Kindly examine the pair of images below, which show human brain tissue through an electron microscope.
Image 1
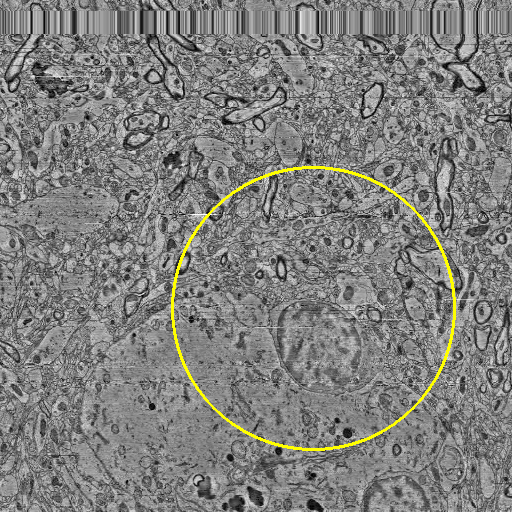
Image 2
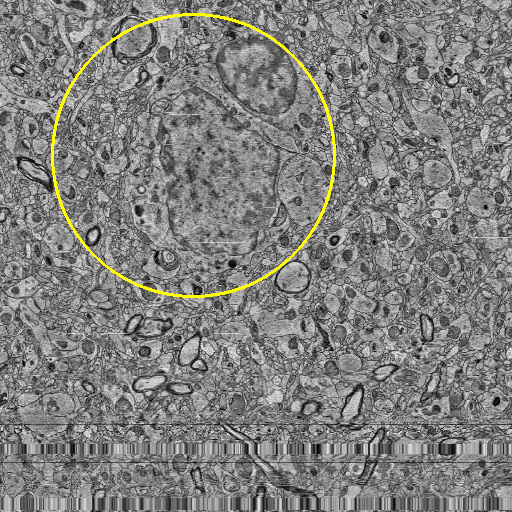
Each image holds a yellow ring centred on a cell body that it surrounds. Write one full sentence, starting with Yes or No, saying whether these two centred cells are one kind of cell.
No, the cells at the centres of the yellow rings belong to two kinds of cell.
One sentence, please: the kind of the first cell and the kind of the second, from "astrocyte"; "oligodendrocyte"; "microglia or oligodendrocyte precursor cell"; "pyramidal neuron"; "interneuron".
The ring in the first picture surrounds an oligodendrocyte, and the ring in the second surrounds an interneuron.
